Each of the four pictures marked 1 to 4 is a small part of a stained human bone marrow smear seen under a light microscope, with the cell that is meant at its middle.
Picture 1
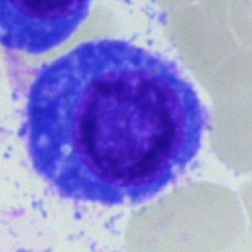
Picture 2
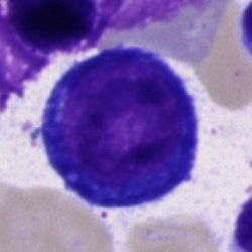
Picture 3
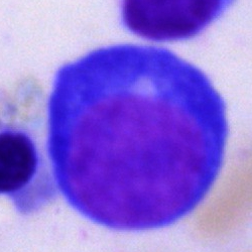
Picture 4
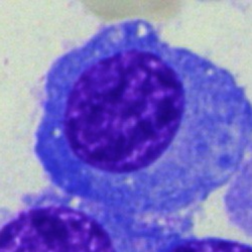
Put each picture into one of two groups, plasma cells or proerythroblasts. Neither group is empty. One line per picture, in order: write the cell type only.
plasma cell
proerythroblast
proerythroblast
plasma cell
